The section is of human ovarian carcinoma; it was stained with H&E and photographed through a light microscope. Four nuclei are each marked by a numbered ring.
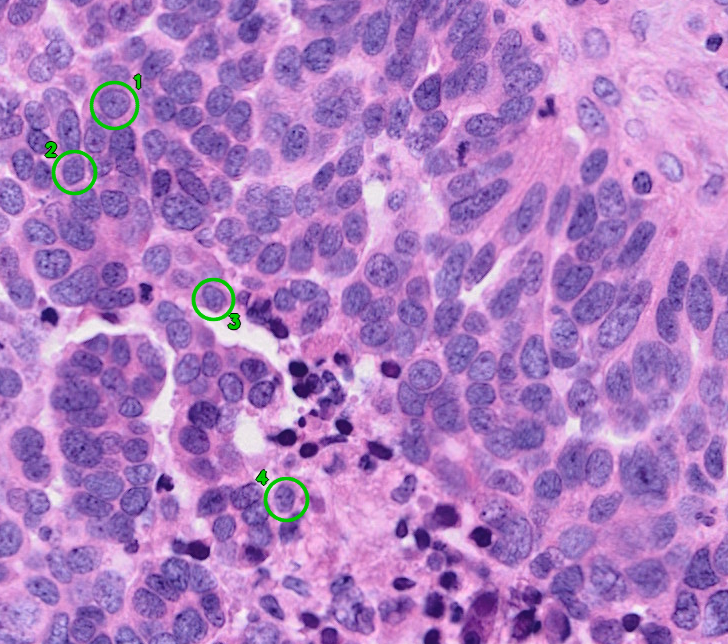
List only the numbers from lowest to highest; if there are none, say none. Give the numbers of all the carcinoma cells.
1, 2, 3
